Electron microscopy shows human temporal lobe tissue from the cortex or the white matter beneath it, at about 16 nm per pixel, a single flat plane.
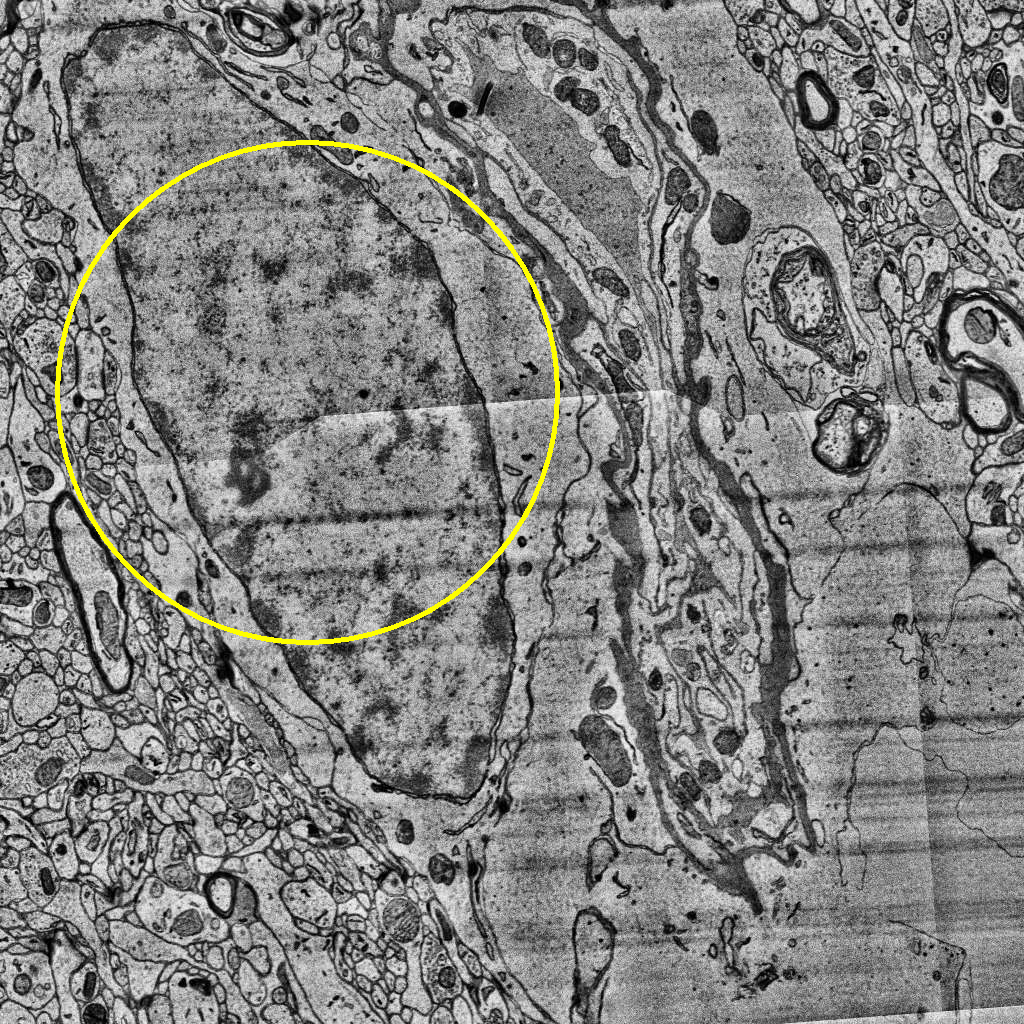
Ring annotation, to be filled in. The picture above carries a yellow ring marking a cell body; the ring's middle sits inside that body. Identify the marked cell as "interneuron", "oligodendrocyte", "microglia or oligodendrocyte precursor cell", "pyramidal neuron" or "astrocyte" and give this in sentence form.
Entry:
The cell at the middle of the ring is a microglial cell or oligodendrocyte precursor cell.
